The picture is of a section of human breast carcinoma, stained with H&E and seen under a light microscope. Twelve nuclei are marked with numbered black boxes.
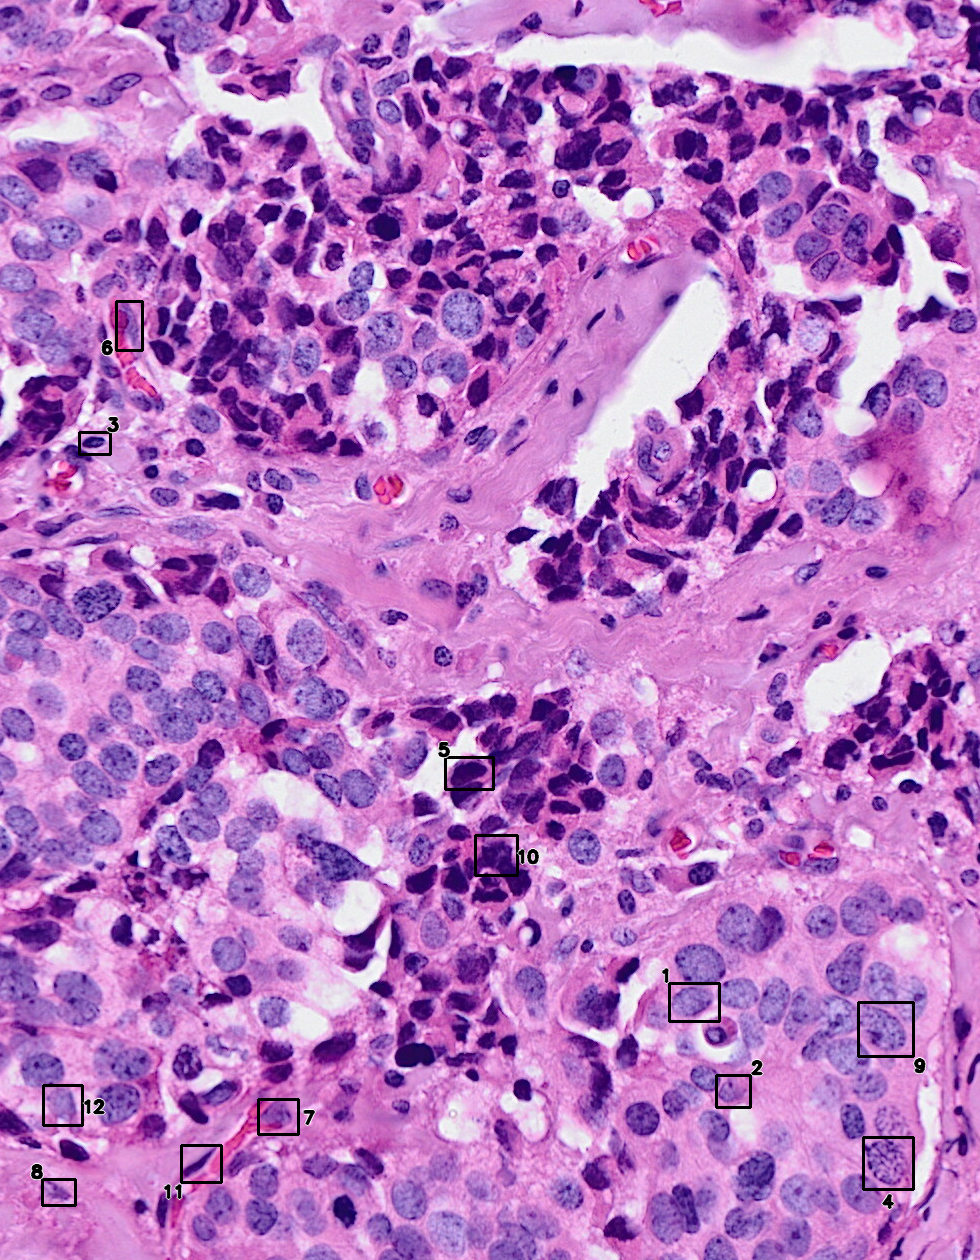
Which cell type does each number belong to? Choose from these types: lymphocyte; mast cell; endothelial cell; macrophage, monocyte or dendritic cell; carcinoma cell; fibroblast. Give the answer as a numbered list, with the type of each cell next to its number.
1. carcinoma cell
2. carcinoma cell
3. lymphocyte
4. carcinoma cell
5. carcinoma cell
6. endothelial cell
7. endothelial cell
8. fibroblast
9. carcinoma cell
10. carcinoma cell
11. endothelial cell
12. carcinoma cell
